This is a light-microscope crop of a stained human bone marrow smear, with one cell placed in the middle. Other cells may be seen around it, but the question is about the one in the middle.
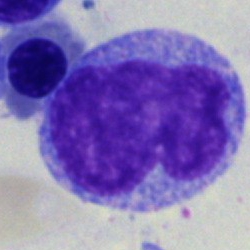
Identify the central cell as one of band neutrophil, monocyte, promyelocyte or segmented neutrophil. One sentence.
The crop's centre is taken up by a monocyte.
